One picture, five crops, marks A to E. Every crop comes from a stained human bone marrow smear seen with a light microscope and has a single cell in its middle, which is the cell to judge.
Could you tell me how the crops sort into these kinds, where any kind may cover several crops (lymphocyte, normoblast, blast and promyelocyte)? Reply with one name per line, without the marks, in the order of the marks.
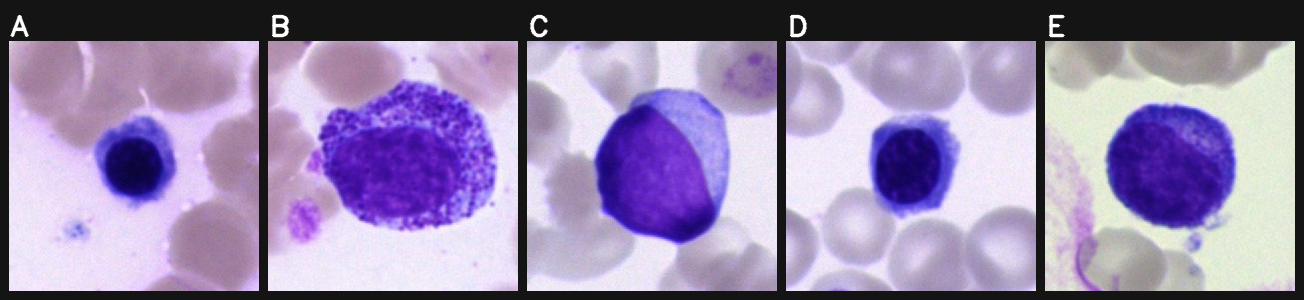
normoblast
promyelocyte
blast
normoblast
promyelocyte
